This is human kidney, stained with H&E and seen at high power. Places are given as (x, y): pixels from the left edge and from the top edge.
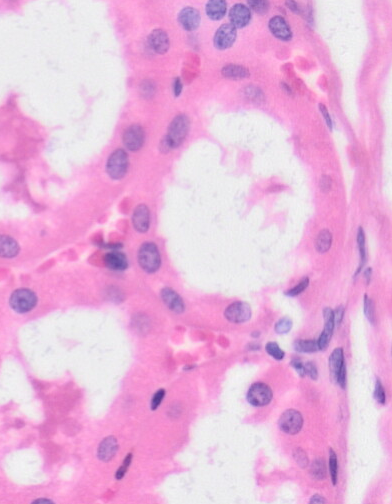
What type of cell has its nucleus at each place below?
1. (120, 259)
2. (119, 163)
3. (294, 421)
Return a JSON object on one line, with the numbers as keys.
{"1": "endothelial cell", "2": "proximal tubule cell", "3": "proximal tubule cell"}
